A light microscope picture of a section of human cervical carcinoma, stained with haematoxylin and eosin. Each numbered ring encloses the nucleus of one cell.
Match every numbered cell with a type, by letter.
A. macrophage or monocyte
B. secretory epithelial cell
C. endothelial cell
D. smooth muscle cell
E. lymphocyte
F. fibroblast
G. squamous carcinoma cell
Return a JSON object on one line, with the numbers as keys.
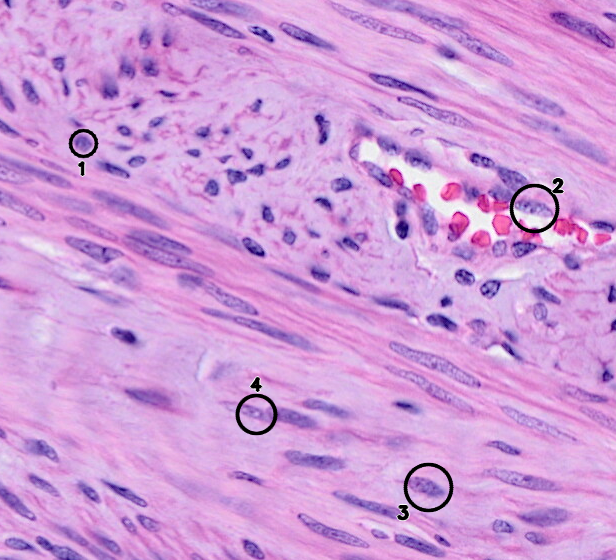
{"1": "D", "2": "C", "3": "D", "4": "D"}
